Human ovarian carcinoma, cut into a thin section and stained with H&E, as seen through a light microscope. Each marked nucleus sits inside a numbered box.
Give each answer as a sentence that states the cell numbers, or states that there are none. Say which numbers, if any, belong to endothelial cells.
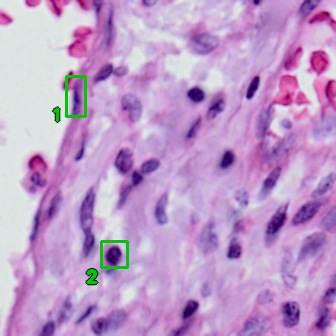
Cell 1 is the single numbered cell that is an endothelial cell.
